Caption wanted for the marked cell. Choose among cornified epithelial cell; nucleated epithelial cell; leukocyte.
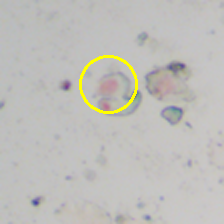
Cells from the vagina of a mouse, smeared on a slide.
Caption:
Ringed in yellow is a nucleated epithelial cell.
